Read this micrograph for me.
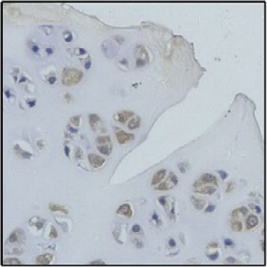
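Chondrocytes of articular cartilage sit in clusters within enlarged lacunae next to a deep cleft in the cartilage surface. Some cells show brown-stained cytoplasm while several show only blue nuclei with little brown colour.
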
